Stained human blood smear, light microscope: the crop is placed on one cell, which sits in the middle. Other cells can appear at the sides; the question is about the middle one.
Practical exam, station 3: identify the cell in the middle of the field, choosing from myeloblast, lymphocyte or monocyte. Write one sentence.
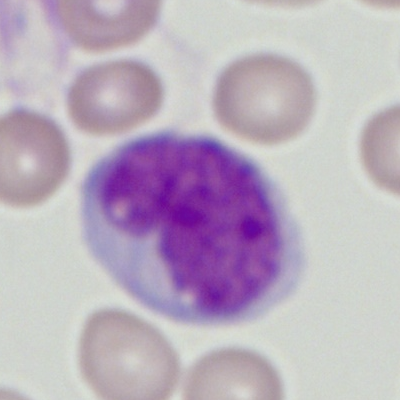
On this slide crop, the central cell is a monocyte.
